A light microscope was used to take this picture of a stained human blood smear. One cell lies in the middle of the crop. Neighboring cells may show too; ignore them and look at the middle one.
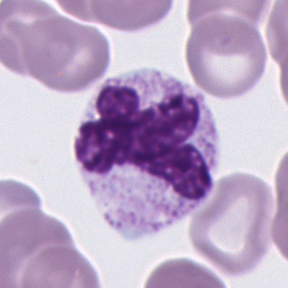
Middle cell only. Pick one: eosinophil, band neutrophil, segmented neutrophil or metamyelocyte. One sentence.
Classification of the middle cell gives a segmented neutrophil.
